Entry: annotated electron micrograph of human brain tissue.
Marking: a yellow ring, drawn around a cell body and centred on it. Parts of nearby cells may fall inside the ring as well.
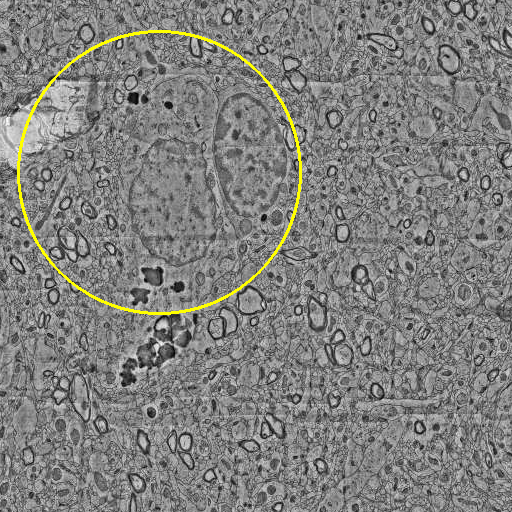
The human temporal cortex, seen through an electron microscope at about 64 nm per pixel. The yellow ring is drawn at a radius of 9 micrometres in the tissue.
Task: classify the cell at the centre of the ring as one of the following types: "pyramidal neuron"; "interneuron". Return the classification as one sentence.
The marked cell is classified as an interneuron.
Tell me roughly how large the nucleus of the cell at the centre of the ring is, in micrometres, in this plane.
The nucleus comes to roughly 8 by 5 micrometres in this plane.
